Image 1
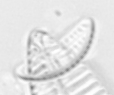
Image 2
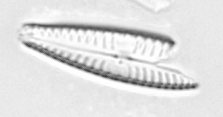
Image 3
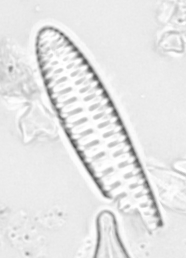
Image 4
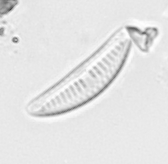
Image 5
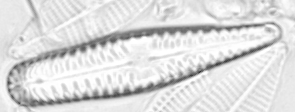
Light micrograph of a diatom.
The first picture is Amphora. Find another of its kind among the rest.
Picture 4.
